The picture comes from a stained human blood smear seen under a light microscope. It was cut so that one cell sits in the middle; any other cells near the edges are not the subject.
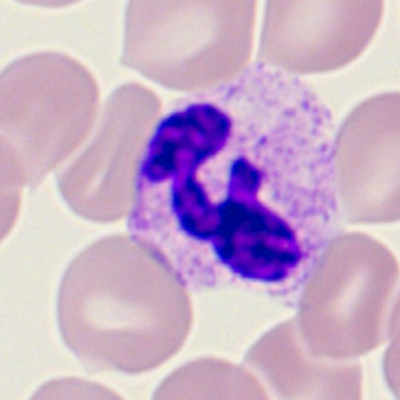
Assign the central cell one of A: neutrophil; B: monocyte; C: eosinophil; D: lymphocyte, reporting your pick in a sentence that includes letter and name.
The correct response is option A, naming the cell in the middle as a neutrophil.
